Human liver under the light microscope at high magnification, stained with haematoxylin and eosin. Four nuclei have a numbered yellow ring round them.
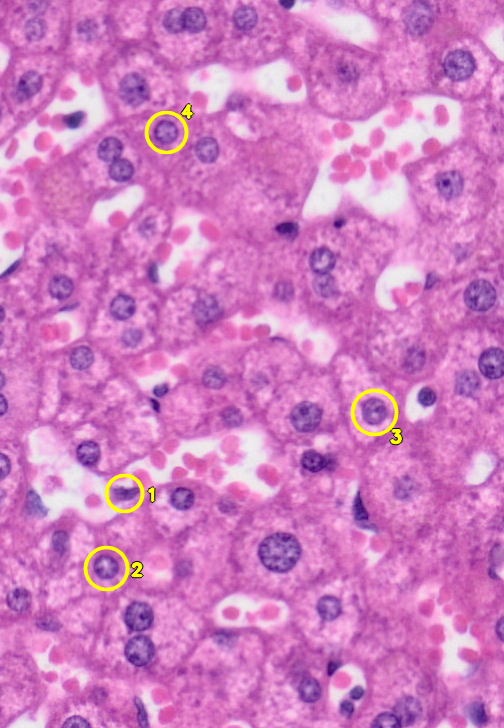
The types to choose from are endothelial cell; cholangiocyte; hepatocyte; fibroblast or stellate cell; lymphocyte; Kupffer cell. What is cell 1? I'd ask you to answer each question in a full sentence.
That cell with number 1 is a Kupffer cell.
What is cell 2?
Number 2 among the marked cells is a hepatocyte.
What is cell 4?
The cell referenced by the number 4 is a hepatocyte in this field.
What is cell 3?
In this section, number 3 marks a hepatocyte.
